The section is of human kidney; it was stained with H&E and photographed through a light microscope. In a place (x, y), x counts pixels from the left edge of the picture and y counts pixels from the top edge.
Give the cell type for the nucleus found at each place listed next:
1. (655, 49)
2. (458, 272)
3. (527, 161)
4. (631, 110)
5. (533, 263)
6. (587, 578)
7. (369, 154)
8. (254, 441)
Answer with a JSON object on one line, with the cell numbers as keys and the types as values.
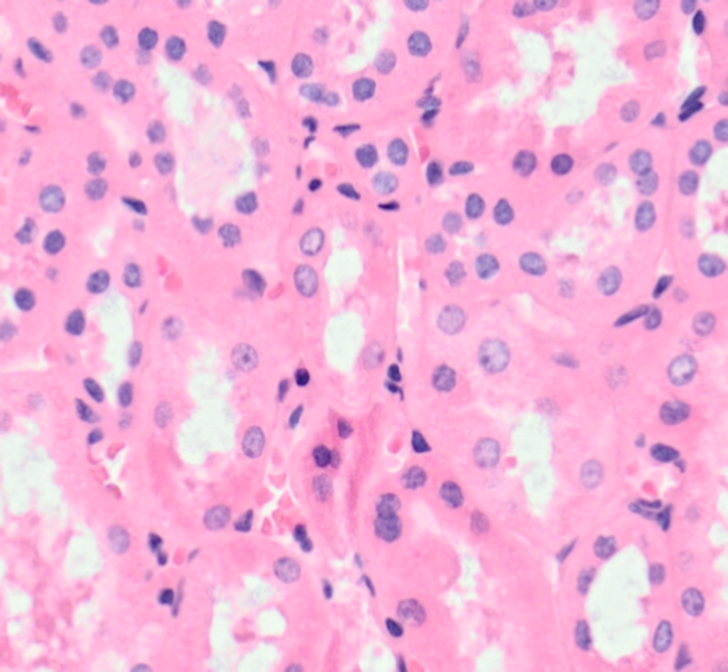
{"1": "proximal tubule cell", "2": "loop of Henle or distal tubule cell", "3": "proximal tubule cell", "4": "proximal tubule cell", "5": "loop of Henle or distal tubule cell", "6": "loop of Henle or distal tubule cell", "7": "loop of Henle or distal tubule cell", "8": "proximal tubule cell"}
